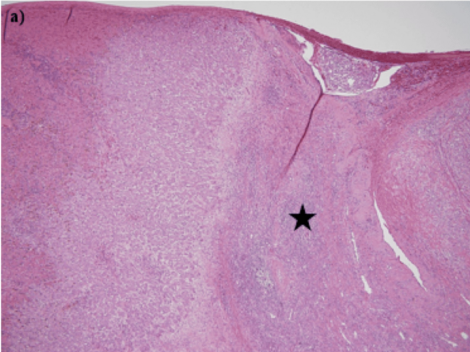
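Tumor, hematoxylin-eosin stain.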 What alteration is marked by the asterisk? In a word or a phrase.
scar-like fibrosis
